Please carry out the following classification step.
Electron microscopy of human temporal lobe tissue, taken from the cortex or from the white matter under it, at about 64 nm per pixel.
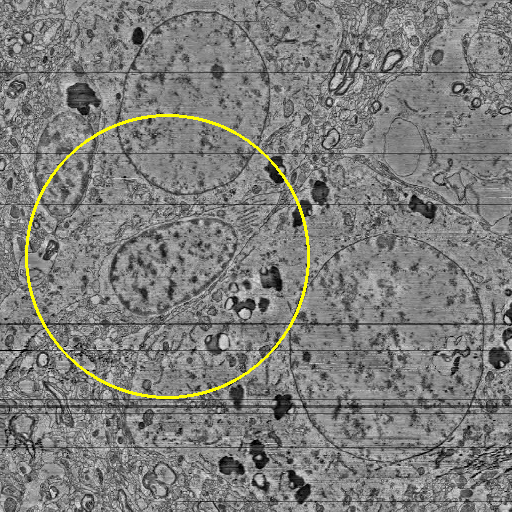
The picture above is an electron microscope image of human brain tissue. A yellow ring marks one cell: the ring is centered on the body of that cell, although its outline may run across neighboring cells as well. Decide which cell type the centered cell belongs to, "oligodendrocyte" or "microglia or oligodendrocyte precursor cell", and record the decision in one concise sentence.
The cell centered in the yellow ring is a microglial cell or oligodendrocyte precursor cell.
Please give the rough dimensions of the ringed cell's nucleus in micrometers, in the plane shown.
Roughly 9 micrometres by 5 micrometres, so the nucleus is clearly longer than it is wide in this plane.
